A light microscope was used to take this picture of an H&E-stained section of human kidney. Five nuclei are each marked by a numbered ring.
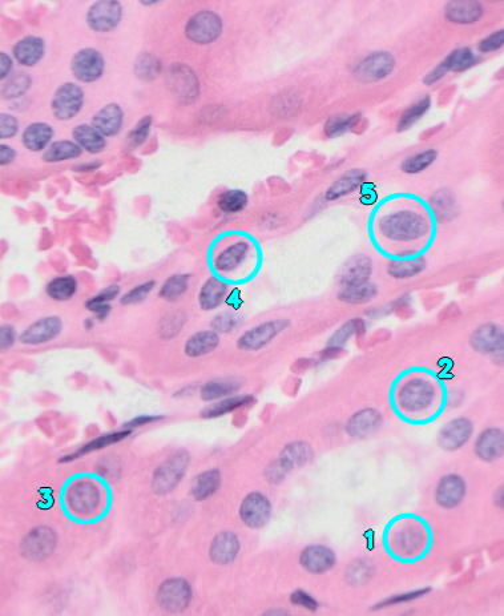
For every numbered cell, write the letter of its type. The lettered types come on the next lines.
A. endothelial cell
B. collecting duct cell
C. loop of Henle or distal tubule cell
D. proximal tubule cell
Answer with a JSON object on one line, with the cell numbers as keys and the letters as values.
{"1": "C", "2": "C", "3": "D", "4": "B", "5": "B"}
